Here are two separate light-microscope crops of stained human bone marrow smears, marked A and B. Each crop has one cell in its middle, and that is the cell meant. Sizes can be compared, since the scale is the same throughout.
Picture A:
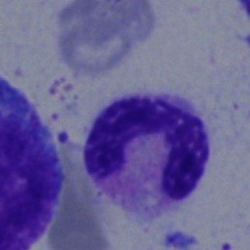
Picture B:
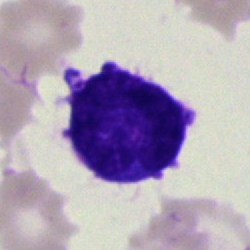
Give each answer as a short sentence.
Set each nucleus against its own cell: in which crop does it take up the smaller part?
In picture A the nucleus takes up the smaller part of its cell.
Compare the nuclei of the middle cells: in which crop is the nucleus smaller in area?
It is the nucleus in picture A; the one in picture B has about 1.5 times its area.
